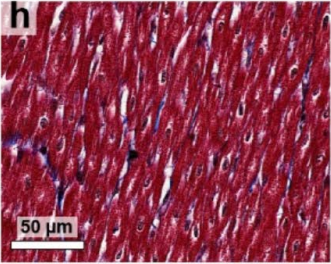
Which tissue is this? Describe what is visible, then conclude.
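Closely packed parallel red muscle fibers. Oval nuclei lie centrally within the fibers. Little blue connective tissue between fibers. That points to this answer: Healthy myocardium.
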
